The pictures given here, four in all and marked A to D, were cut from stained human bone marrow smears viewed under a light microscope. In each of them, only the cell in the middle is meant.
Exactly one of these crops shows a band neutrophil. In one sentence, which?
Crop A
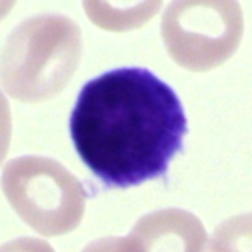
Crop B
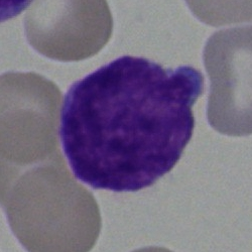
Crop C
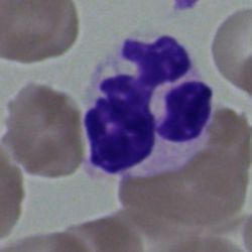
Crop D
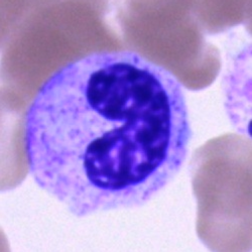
Crop D alone, of all the crops, shows a band neutrophil.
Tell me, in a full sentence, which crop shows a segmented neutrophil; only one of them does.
Crop C matches the request, showing a segmented neutrophil.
